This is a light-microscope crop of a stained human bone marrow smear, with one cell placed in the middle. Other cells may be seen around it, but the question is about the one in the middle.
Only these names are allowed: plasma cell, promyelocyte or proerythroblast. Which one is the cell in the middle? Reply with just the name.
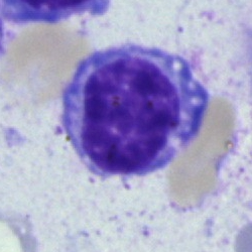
plasma cell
